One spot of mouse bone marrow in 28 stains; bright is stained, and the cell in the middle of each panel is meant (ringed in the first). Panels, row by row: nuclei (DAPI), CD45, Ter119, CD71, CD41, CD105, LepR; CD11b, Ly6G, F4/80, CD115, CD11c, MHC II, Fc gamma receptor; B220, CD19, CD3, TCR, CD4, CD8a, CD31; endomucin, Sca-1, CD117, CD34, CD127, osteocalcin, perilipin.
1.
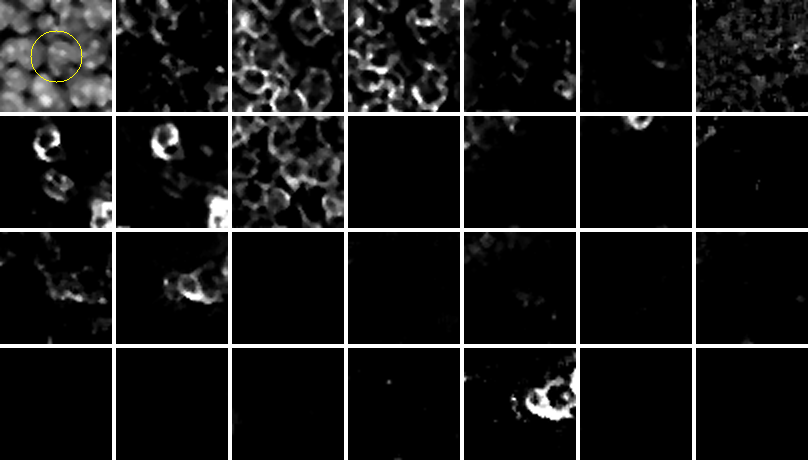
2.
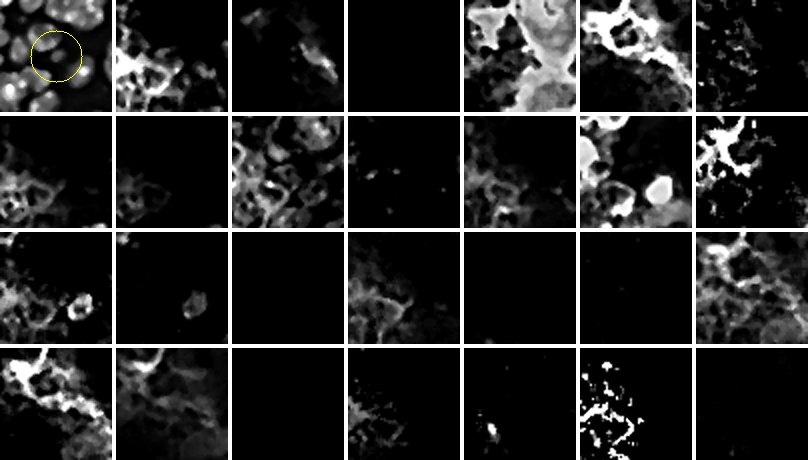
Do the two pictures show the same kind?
No: a common lymphoid progenitor, then a capillary endothelial cell.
